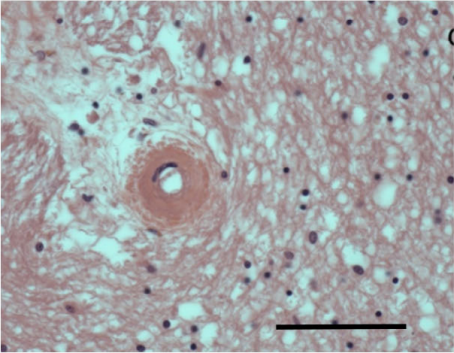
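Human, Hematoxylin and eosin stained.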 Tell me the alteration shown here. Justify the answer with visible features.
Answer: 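The arteriole wall is greatly thickened, homogeneous and glassy pink. The lumen is narrow relative to the wall. Few nuclei are visible within the thickened wall. On this evidence: vessel wall hyalinosis.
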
